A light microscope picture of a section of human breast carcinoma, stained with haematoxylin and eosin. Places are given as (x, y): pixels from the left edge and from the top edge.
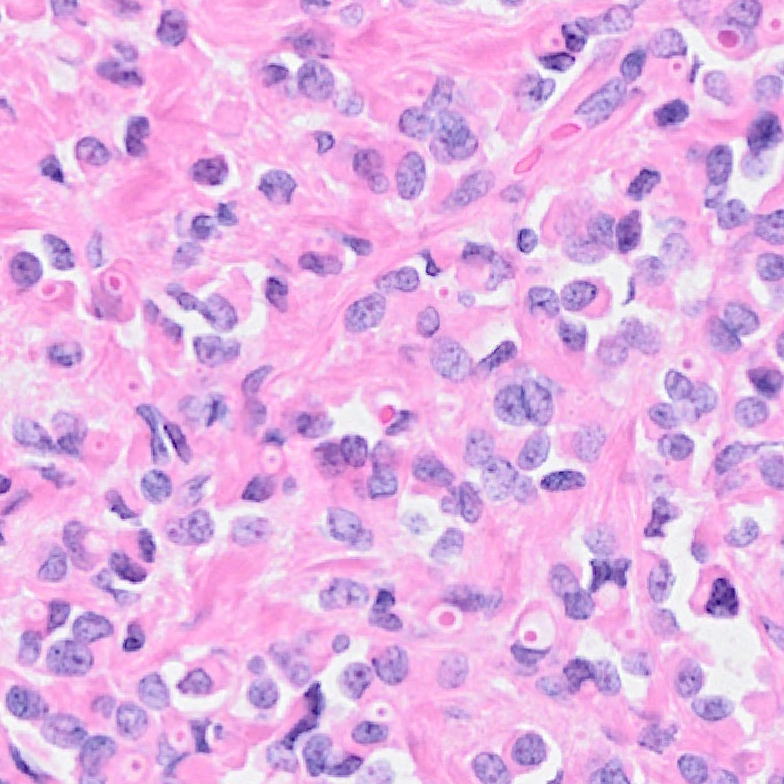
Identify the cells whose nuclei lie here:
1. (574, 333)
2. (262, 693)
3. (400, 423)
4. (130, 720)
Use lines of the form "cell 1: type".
cell 1: carcinoma cell
cell 2: carcinoma cell
cell 3: endothelial cell
cell 4: carcinoma cell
